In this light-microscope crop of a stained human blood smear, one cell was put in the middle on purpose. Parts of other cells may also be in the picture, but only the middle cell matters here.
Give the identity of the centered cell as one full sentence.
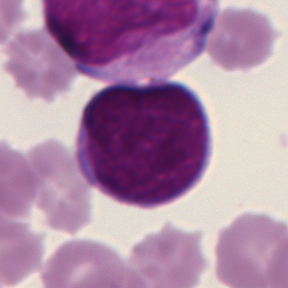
Positioned in the middle of the crop is a myeloblast.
